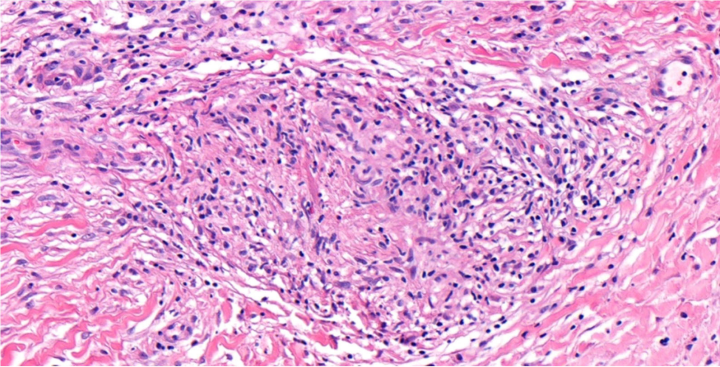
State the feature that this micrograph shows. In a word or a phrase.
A: Non-necrotizing granulomas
